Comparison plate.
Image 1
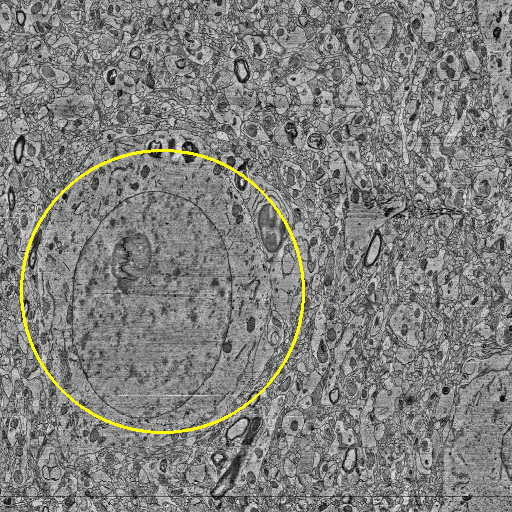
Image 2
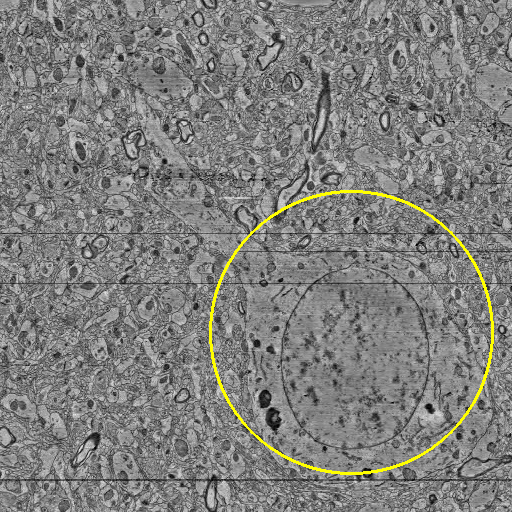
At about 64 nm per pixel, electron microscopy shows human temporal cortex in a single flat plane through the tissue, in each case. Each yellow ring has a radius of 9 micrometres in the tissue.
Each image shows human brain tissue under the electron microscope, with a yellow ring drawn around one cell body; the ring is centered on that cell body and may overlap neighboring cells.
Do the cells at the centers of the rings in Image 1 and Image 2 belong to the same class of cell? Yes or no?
yes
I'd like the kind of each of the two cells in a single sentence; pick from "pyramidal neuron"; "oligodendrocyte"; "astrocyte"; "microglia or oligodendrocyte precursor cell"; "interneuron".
In both pictures the ring is centred on a pyramidal neuron.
